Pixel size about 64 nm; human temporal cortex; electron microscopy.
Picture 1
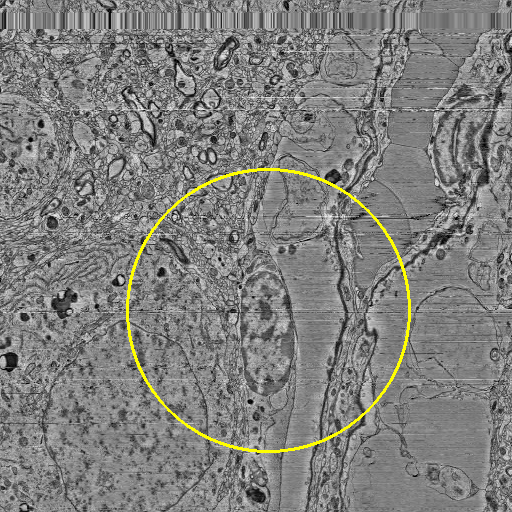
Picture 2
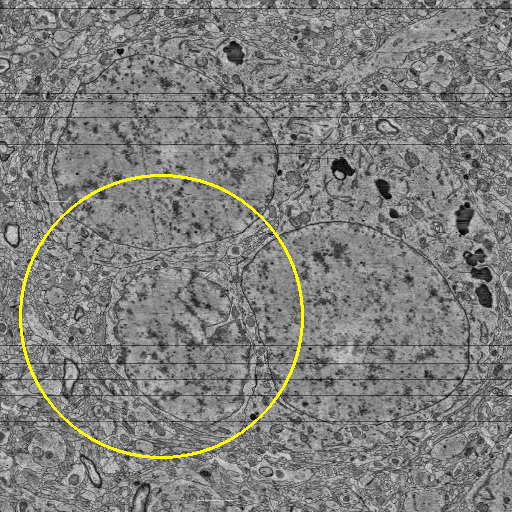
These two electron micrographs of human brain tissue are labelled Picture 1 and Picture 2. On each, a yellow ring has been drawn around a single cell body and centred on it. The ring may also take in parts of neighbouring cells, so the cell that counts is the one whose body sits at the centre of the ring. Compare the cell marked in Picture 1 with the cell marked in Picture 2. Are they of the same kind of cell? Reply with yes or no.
no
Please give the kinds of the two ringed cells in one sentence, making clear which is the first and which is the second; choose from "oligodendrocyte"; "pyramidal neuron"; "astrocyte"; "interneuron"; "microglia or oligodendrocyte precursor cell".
In the second picture the ringed cell is an interneuron; in the first it is a microglial cell or oligodendrocyte precursor cell.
